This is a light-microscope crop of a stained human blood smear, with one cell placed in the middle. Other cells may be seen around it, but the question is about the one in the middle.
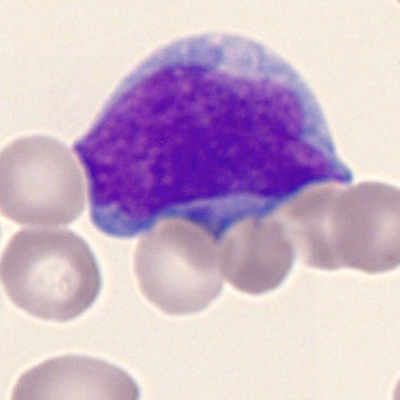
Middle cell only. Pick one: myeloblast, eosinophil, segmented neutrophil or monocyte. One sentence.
The cell around which this crop is centred is a myeloblast.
